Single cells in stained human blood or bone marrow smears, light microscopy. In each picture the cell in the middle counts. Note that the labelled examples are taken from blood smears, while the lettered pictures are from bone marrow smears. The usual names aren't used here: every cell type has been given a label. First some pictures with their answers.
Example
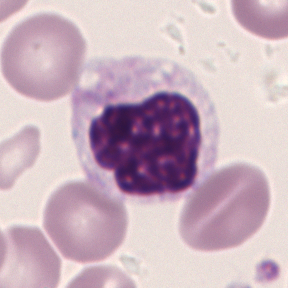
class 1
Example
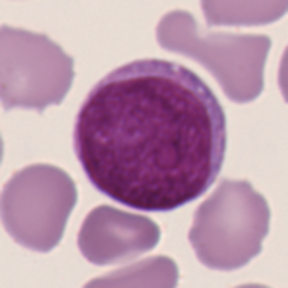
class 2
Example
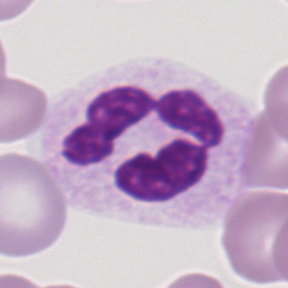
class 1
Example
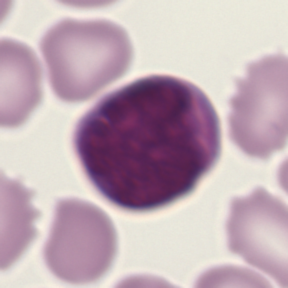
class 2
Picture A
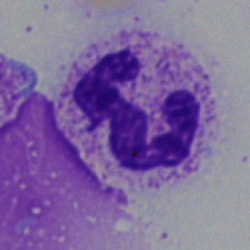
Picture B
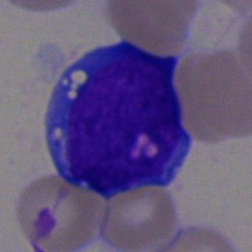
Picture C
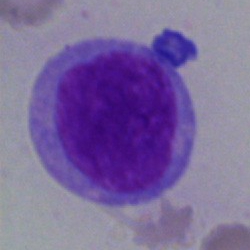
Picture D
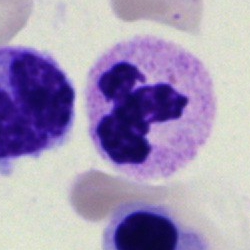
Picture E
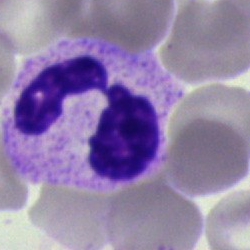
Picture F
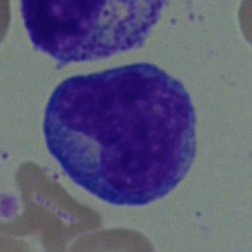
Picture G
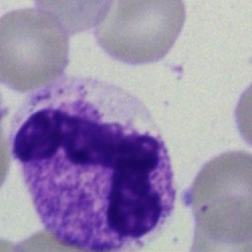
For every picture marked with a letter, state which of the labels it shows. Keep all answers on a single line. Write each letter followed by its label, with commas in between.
A class 1, B class 2, C class 2, D class 1, E class 1, F class 2, G class 1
